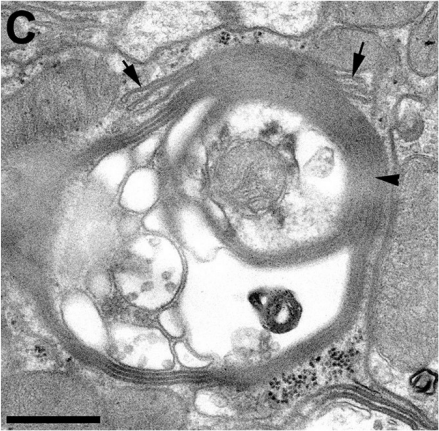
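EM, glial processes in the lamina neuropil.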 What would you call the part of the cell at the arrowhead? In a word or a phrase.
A: Membrane folds.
